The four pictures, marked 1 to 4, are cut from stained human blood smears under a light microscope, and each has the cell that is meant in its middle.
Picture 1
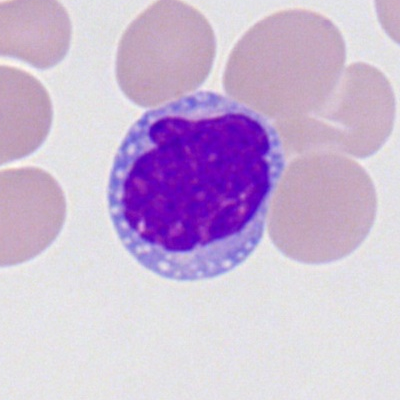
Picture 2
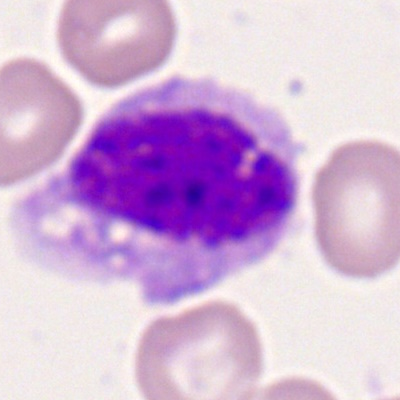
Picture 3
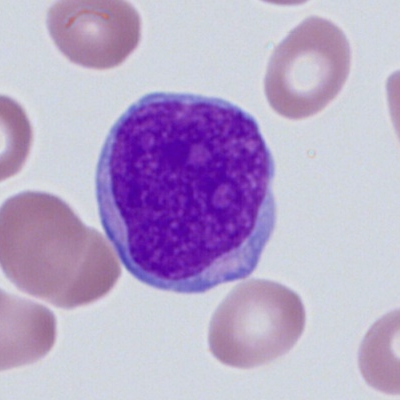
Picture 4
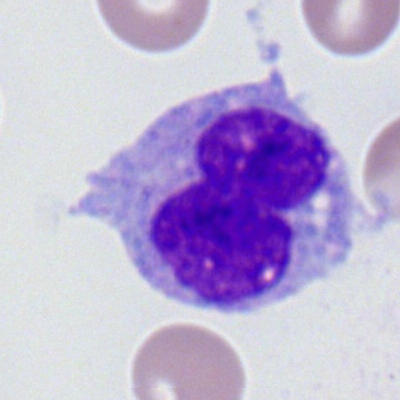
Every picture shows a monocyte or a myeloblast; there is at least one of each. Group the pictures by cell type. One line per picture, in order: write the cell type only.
monocyte
monocyte
myeloblast
monocyte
